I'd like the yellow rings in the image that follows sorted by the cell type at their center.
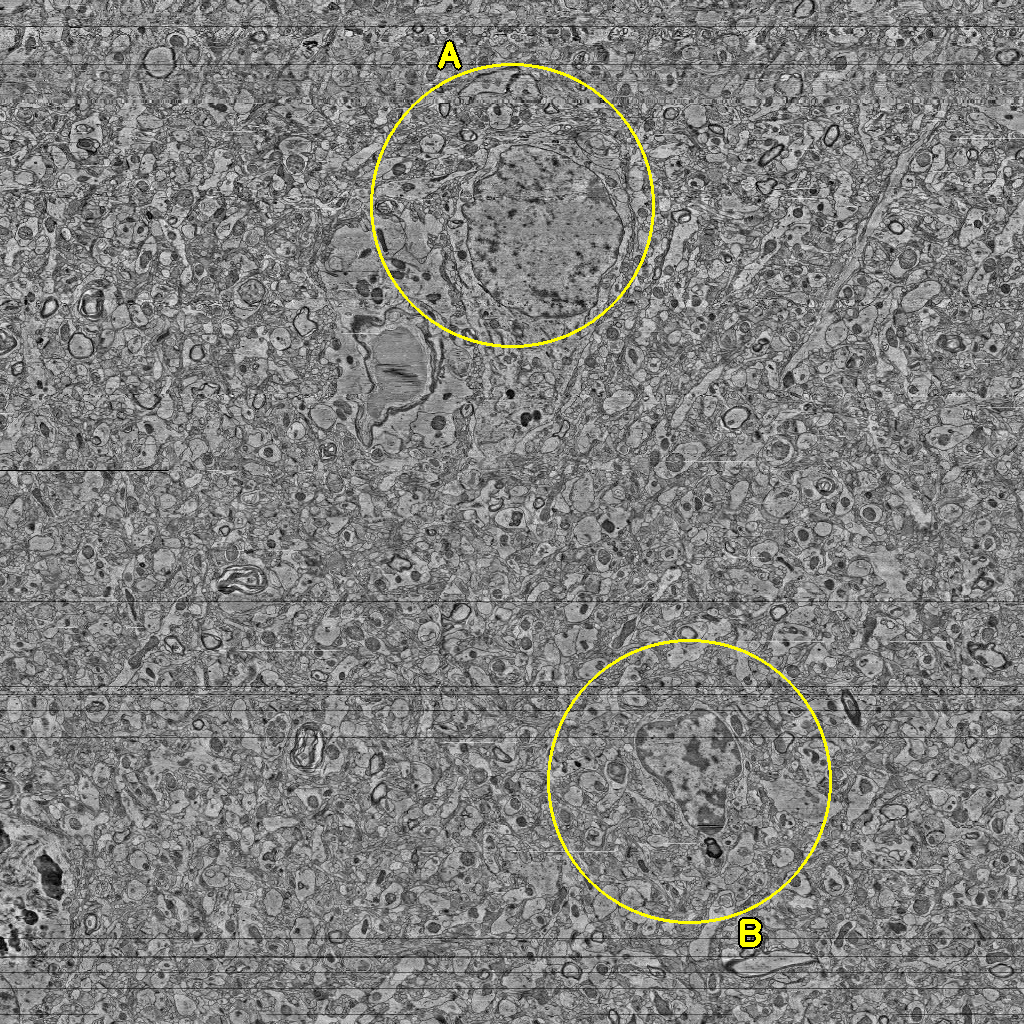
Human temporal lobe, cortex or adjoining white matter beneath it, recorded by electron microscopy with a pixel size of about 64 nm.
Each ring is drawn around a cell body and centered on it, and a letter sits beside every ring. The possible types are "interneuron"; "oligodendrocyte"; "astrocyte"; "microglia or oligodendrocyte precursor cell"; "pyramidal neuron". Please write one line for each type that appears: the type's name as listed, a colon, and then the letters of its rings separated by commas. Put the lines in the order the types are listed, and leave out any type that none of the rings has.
interneuron: A
microglia or oligodendrocyte precursor cell: B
